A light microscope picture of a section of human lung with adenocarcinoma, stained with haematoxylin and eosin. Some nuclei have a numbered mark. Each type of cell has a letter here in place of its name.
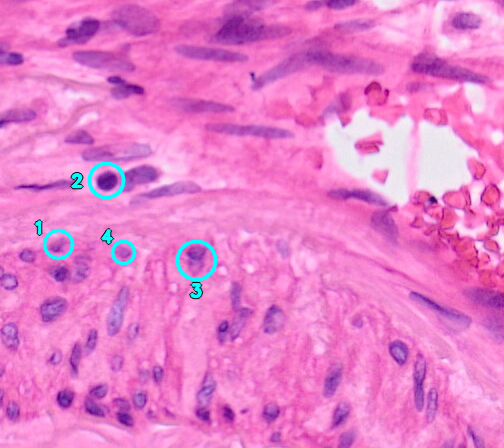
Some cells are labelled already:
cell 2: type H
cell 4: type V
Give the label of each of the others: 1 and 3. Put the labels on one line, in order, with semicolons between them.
type V; type V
